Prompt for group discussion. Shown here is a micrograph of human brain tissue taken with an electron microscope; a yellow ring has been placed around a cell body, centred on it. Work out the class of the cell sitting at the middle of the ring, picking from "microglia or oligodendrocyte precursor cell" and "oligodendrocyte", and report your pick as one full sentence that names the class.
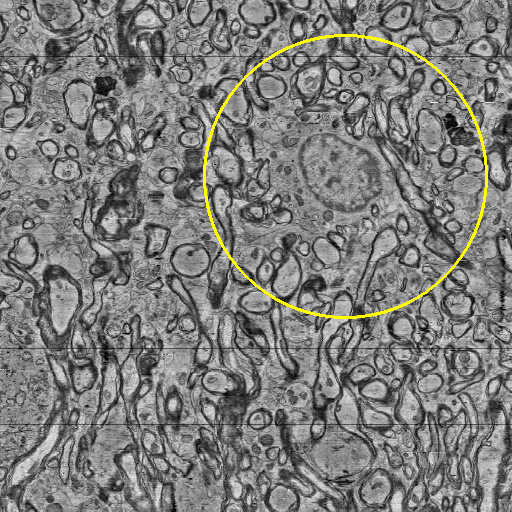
The cell sitting at the middle of the yellow ring is an oligodendrocyte.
